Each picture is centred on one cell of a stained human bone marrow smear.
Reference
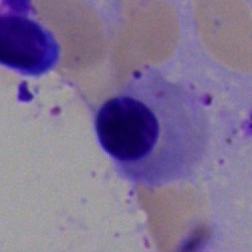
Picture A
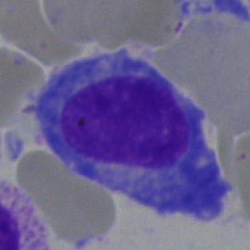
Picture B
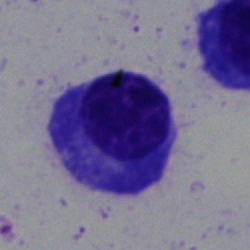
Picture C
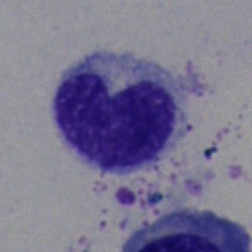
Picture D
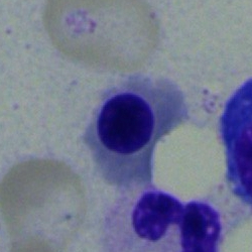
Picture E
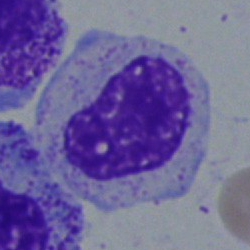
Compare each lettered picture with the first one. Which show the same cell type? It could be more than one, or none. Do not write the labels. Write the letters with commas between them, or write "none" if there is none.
D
